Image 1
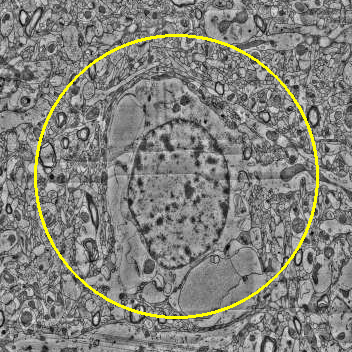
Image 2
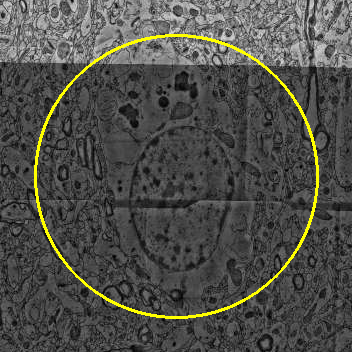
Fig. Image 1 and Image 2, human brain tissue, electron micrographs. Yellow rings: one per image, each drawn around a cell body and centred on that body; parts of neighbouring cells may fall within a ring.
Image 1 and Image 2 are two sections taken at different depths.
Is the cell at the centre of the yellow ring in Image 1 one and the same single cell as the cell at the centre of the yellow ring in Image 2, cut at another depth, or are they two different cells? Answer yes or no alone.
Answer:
yes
